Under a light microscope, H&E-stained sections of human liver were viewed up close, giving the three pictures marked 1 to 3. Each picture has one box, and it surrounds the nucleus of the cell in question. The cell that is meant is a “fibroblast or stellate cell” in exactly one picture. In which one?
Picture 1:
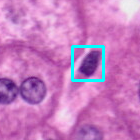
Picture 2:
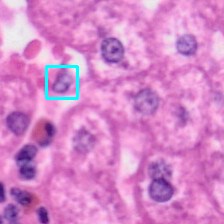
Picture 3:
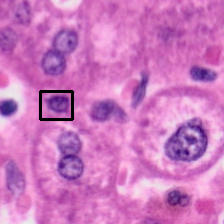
3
